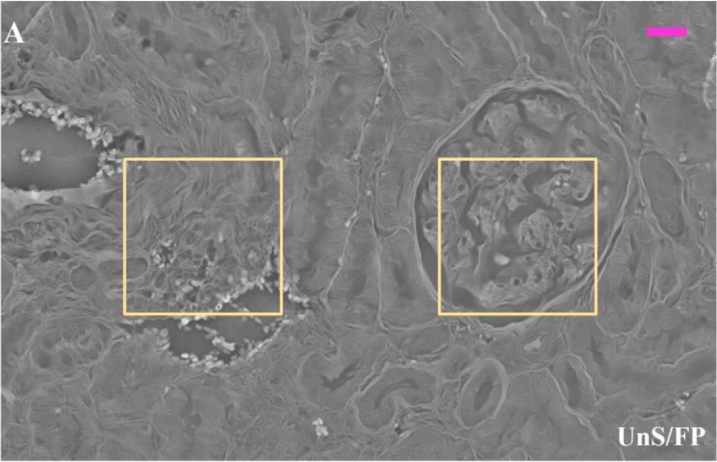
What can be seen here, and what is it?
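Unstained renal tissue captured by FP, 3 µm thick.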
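The glomerulus is a round, lobulated tuft enclosed by a thin rim, with a narrow space between tuft and rim. On the left, dark smooth lumens are lined by bright, small granular bodies along their edges. Next to one lumen the wall has a fibrous, streaming texture, which is smooth muscle tissue of the vessel. The rest of the field is filled with packed round and oval tubular profiles outlined by thin lines.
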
